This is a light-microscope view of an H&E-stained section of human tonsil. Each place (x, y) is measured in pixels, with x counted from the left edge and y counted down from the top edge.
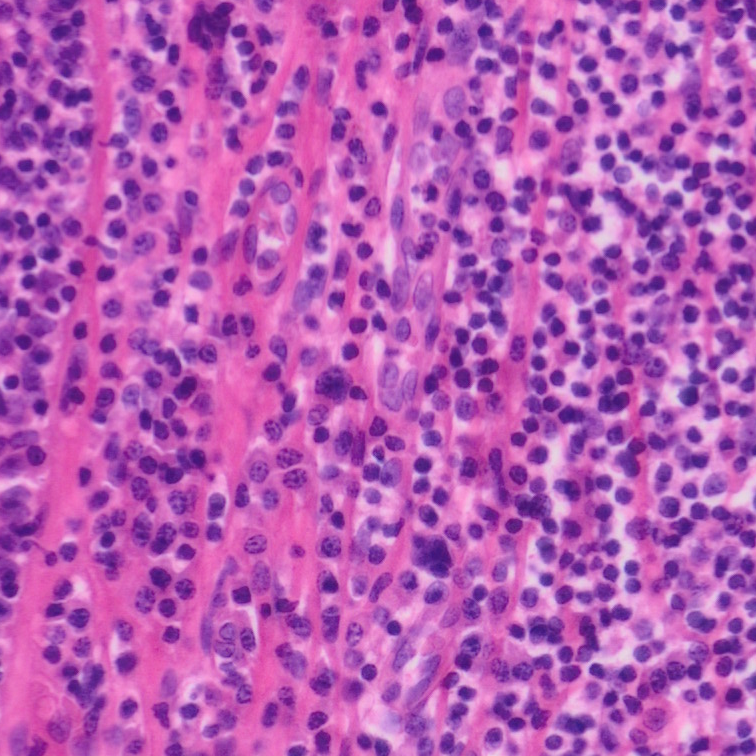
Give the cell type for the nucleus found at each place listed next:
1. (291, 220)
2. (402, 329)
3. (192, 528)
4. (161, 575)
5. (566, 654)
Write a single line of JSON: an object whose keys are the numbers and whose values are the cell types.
{"1": "endothelial cell", "2": "endothelial cell", "3": "plasma cell", "4": "plasma cell", "5": "small lymphocyte"}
